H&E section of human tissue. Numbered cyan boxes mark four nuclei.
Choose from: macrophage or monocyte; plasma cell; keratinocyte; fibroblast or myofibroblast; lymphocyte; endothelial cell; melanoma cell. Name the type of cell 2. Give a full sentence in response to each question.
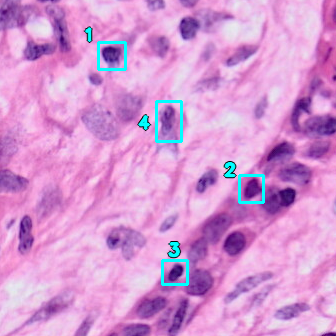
Nucleus 2 in this section belongs to a keratinocyte.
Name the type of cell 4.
The nucleus labelled 4 belongs to a fibroblast or myofibroblast.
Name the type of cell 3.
Within this field of view, the cell labelled 3 is a lymphocyte.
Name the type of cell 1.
The one labeled 1 is a lymphocyte, to put it simply.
